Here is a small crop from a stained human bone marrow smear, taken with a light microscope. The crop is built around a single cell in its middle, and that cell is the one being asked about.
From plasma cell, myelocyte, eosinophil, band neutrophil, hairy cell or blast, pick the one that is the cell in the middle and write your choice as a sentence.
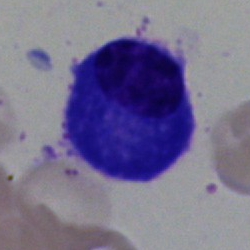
The cell in the middle of the field of view is a plasma cell.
